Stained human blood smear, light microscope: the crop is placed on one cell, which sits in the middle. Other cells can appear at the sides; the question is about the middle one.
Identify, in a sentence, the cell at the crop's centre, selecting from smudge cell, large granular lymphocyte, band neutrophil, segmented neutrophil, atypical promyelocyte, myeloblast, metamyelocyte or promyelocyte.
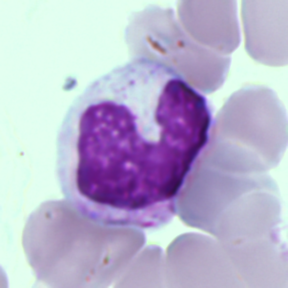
This crop's central cell is a band neutrophil.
